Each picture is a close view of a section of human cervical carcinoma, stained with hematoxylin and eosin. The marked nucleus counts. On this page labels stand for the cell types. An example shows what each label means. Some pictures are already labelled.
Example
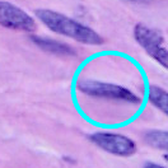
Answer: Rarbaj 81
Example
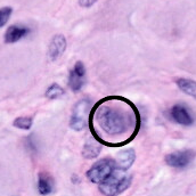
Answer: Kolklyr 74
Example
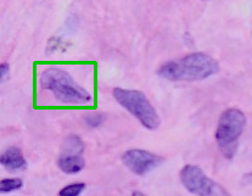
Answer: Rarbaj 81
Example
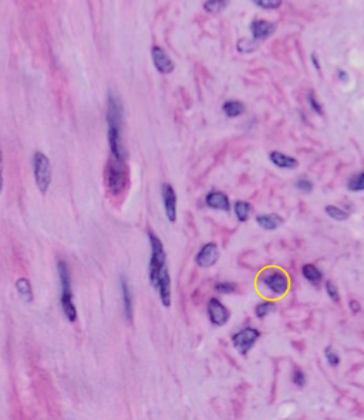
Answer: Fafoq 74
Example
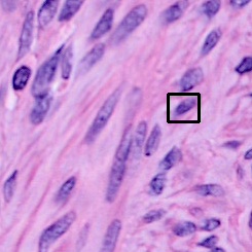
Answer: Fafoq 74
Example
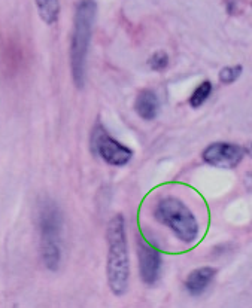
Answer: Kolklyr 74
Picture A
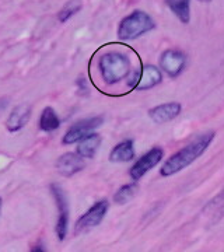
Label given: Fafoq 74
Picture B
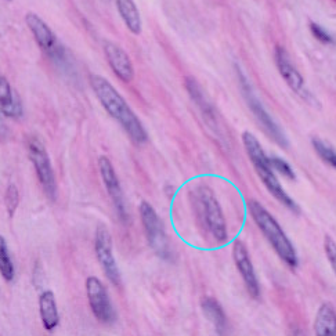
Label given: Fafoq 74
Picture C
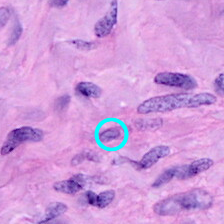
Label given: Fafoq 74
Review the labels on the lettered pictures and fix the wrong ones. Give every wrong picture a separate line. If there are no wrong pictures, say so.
A is labelled Fafoq 74; correct label: Kolklyr 74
